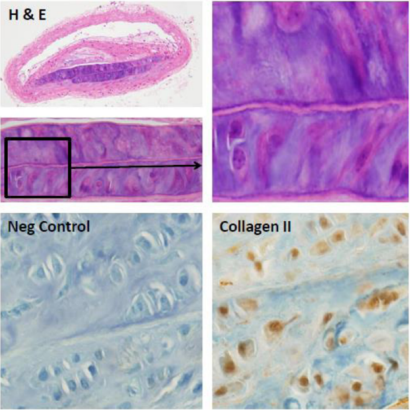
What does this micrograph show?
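These are sections of an artery whose thickened wall contains a lesion of cartilage-like tissue. At low power the vessel shows a pink wall with a purple-staining mass lying inside it. At higher power the mass is made of rounded cells sitting singly or in small groups within clear spaces, like chondrocytes in lacunae, set in a purple matrix.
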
